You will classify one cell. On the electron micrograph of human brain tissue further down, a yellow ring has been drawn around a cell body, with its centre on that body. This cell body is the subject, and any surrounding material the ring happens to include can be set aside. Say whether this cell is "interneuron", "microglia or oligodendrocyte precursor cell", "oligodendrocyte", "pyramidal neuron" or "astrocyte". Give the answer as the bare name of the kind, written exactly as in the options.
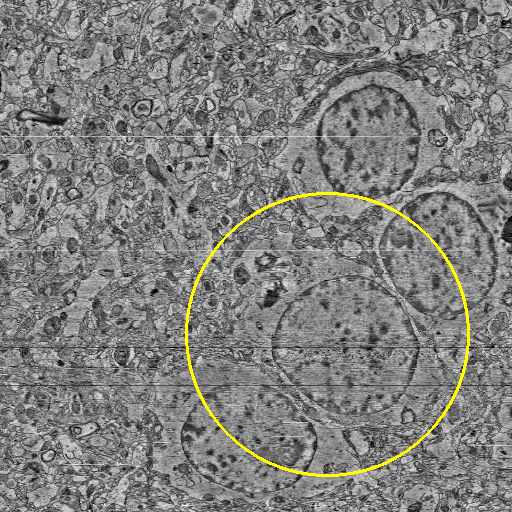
astrocyte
